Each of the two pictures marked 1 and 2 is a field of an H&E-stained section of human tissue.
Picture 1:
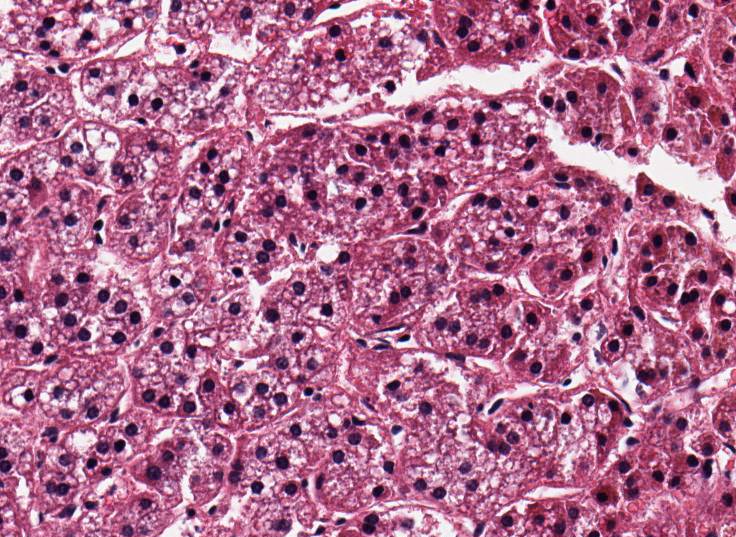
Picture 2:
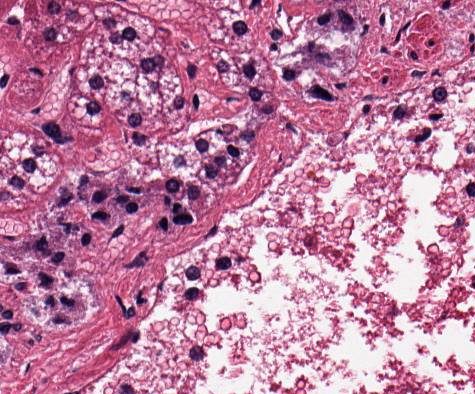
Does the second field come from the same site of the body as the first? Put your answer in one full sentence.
Yes; both pictures come from the adrenal gland.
